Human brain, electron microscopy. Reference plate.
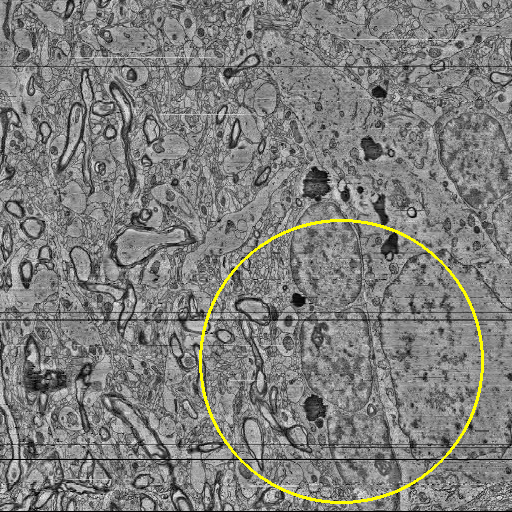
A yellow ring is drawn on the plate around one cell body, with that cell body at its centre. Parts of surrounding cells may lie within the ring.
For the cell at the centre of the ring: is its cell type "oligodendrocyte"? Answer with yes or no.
Yes, that is its cell type.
